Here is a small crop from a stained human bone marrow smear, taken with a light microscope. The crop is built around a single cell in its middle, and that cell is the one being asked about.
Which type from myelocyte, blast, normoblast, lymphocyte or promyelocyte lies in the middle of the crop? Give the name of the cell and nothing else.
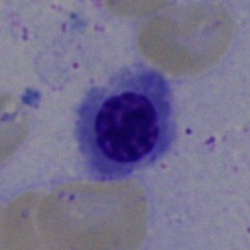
normoblast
